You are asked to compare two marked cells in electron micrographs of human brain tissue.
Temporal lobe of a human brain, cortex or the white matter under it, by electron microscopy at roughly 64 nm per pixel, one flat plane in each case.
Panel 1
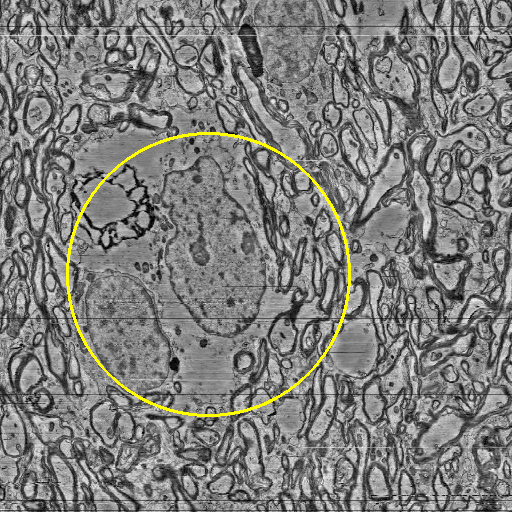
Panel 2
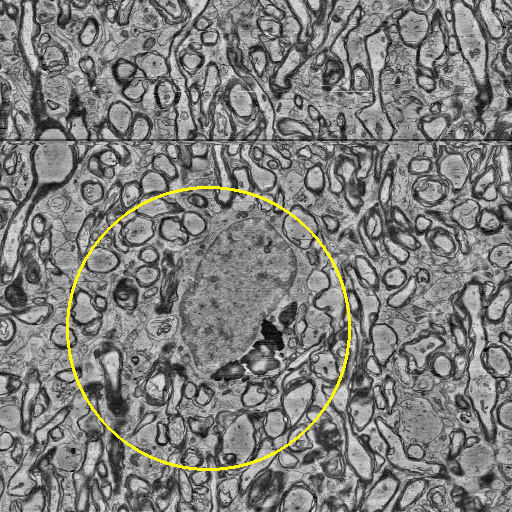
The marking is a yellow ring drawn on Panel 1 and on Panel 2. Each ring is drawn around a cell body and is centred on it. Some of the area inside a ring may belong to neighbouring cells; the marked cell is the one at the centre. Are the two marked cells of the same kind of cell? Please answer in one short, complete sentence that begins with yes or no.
No, the two marked cells are of two kinds.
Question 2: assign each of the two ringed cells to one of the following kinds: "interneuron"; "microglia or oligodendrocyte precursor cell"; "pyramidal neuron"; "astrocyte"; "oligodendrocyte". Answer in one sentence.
The two cells are an astrocyte in the first picture and an oligodendrocyte in the second.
